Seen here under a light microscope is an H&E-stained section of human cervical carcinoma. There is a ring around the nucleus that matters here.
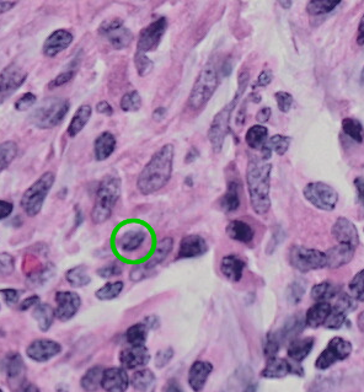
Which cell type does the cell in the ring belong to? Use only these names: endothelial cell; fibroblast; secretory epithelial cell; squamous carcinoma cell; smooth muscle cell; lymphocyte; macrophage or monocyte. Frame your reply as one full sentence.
Assigned to a cell type, the cell in the ring is a lymphocyte.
